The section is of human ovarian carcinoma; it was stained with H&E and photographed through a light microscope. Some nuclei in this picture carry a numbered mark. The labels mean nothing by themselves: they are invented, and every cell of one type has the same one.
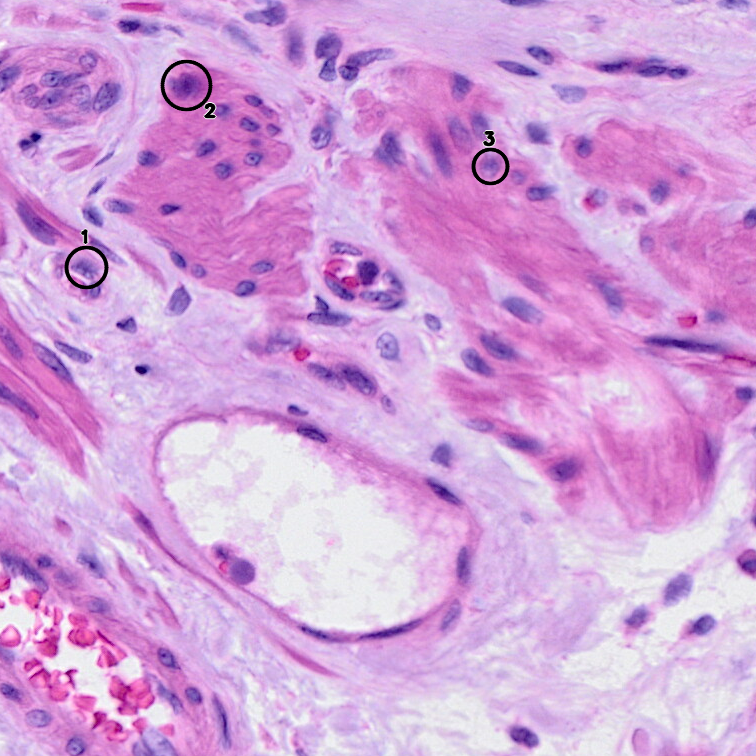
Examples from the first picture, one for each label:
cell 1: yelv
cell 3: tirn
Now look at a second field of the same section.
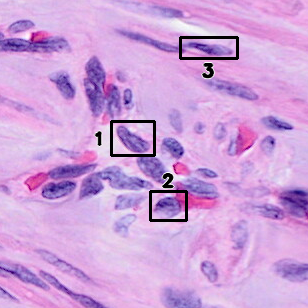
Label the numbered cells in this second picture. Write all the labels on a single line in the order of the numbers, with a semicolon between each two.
yelv; yelv; tirn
